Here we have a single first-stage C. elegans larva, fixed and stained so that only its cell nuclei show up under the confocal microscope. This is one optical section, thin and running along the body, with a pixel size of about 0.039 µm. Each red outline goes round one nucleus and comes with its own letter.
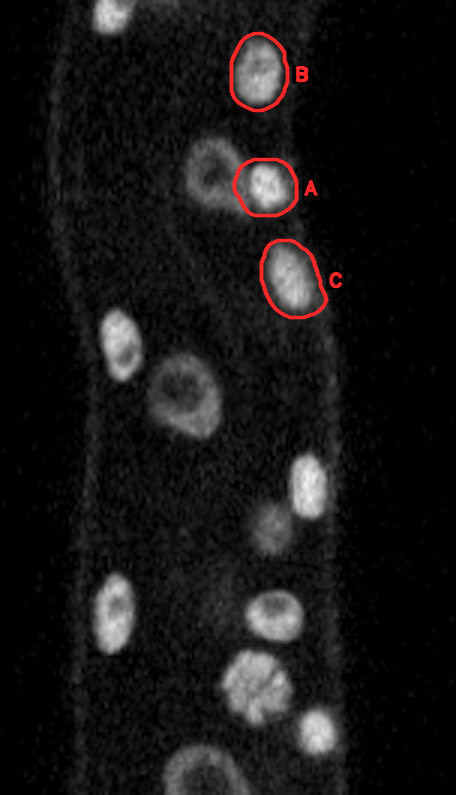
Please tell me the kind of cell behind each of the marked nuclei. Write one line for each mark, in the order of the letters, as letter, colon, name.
A: neuron
B: body wall muscle cell
C: neuron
